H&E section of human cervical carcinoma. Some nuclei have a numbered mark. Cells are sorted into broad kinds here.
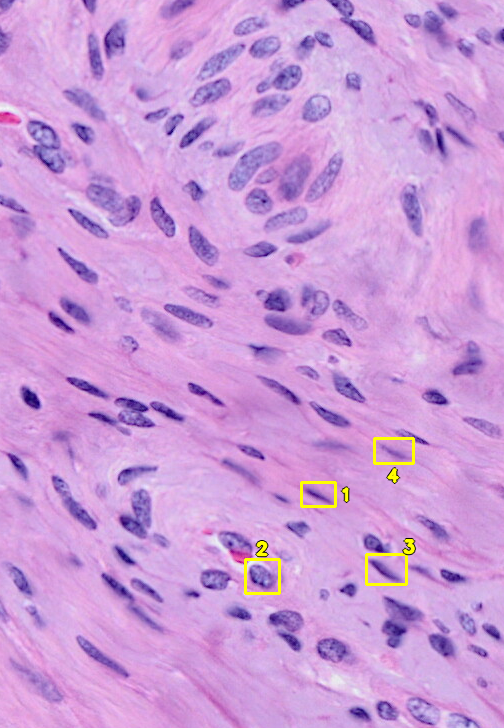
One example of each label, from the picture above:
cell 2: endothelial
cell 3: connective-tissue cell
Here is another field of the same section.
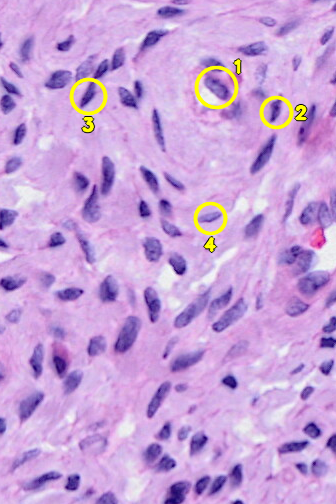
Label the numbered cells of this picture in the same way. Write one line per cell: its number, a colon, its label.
1: endothelial
2: connective-tissue cell
3: connective-tissue cell
4: connective-tissue cell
